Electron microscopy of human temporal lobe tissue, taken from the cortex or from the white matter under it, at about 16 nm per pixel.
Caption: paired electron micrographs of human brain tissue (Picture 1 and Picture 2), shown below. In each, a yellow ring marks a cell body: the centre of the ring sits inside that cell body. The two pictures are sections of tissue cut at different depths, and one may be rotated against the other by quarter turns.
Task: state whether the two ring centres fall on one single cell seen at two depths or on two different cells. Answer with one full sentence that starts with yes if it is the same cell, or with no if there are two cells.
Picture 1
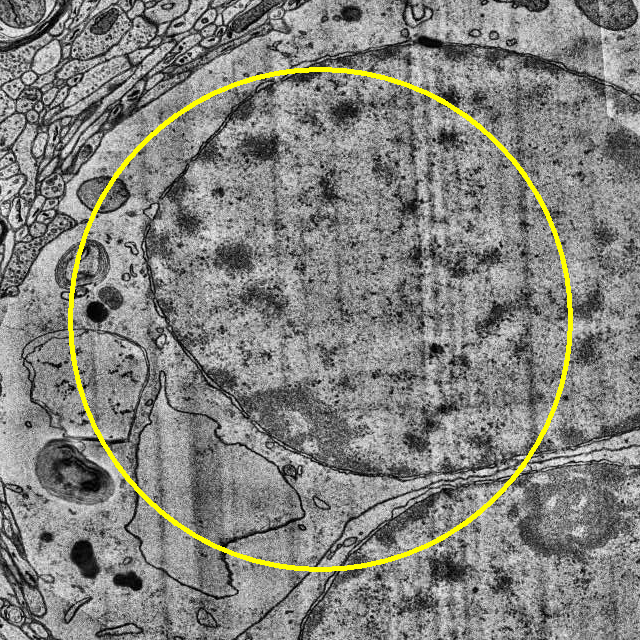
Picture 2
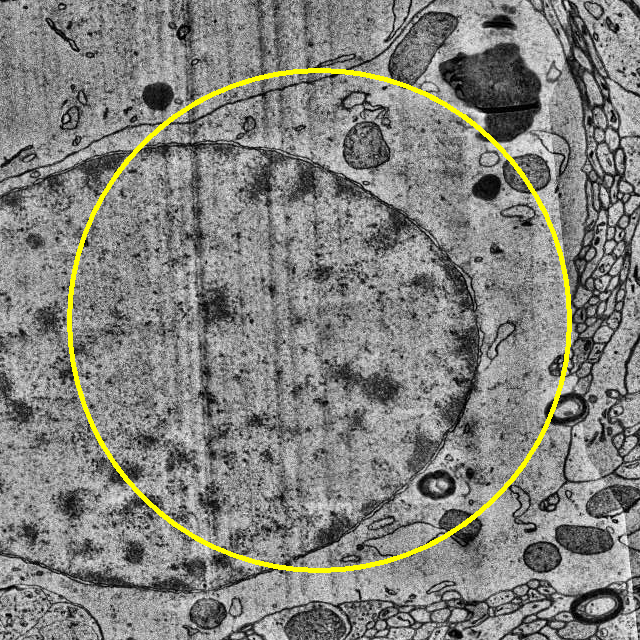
Yes, these two rings point to one cell rather than two.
